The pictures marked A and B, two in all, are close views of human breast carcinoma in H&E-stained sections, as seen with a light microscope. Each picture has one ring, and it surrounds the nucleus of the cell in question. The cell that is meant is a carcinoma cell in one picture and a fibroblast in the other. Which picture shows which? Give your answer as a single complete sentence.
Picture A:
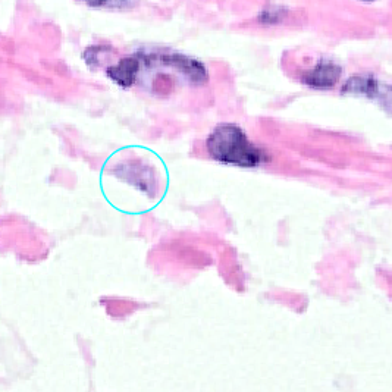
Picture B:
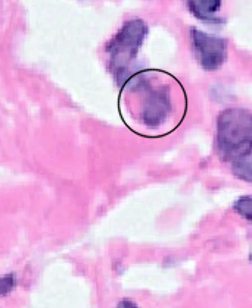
Picture B shows a carcinoma cell, while picture A shows a fibroblast.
